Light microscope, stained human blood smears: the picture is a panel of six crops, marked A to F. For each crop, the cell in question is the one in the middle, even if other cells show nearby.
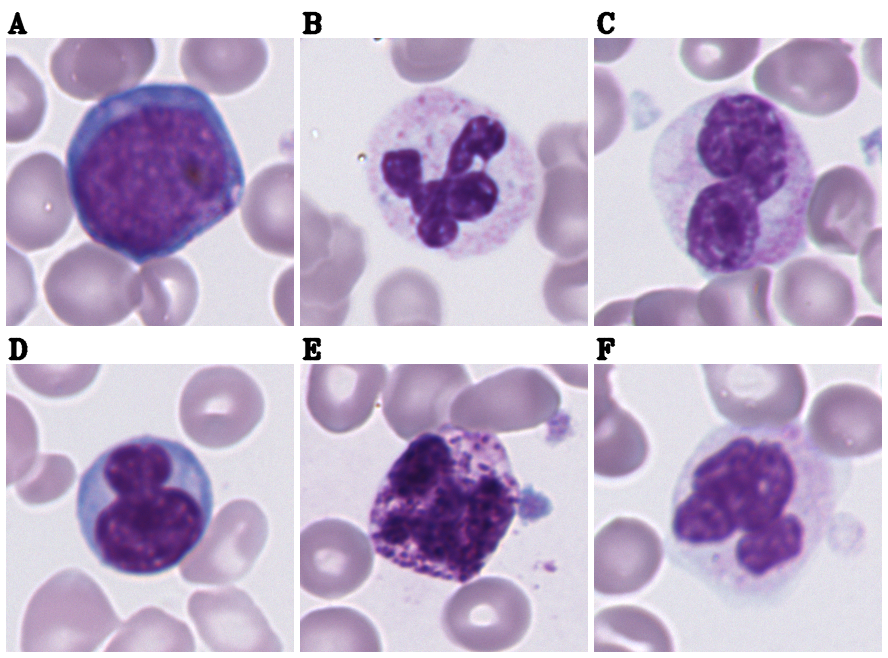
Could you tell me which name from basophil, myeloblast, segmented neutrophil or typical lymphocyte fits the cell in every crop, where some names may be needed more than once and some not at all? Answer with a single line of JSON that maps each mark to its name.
{"A": "myeloblast", "B": "segmented neutrophil", "C": "segmented neutrophil", "D": "typical lymphocyte", "E": "basophil", "F": "segmented neutrophil"}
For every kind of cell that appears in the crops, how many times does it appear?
segmented neutrophil: 3
myeloblast: 1
typical lymphocyte: 1
basophil: 1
